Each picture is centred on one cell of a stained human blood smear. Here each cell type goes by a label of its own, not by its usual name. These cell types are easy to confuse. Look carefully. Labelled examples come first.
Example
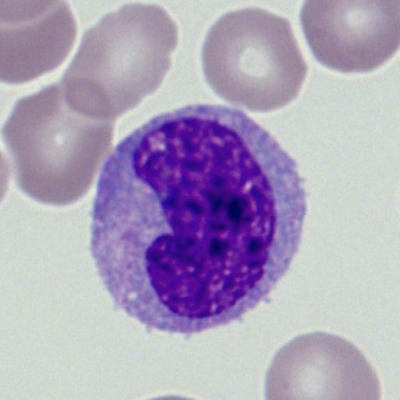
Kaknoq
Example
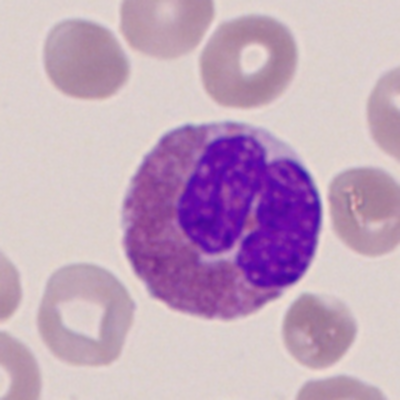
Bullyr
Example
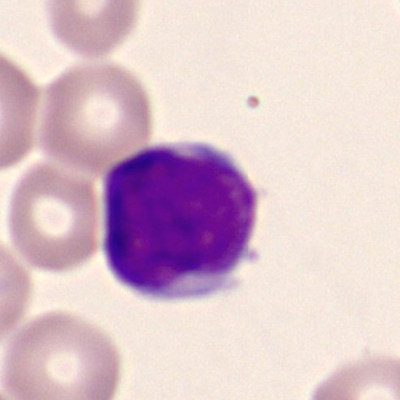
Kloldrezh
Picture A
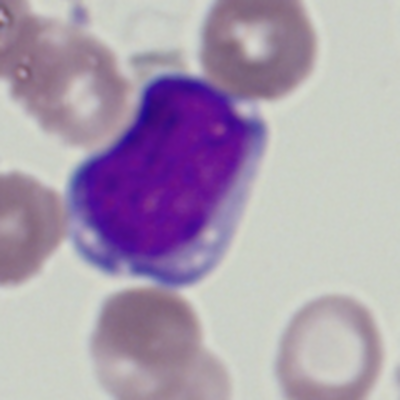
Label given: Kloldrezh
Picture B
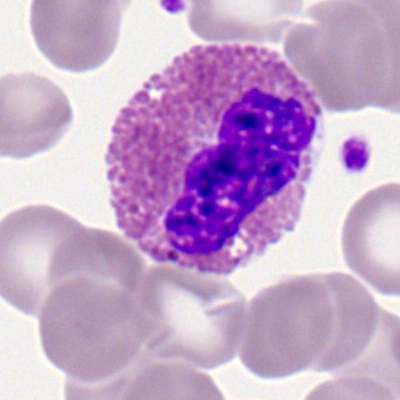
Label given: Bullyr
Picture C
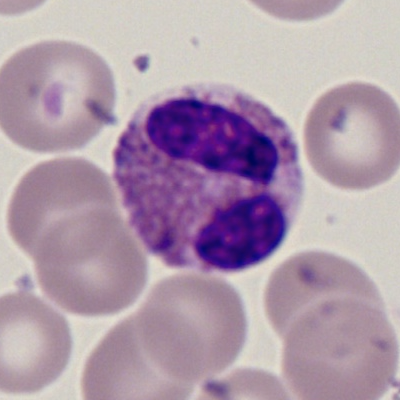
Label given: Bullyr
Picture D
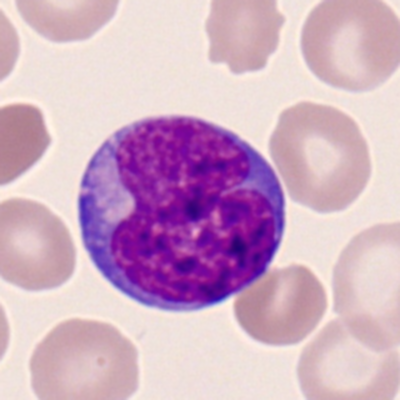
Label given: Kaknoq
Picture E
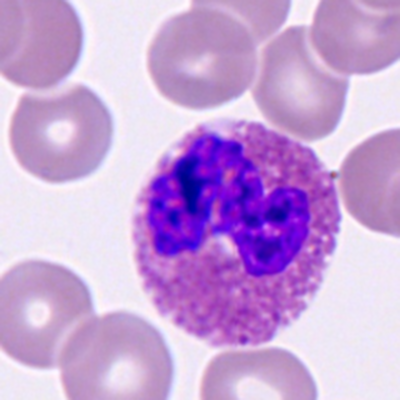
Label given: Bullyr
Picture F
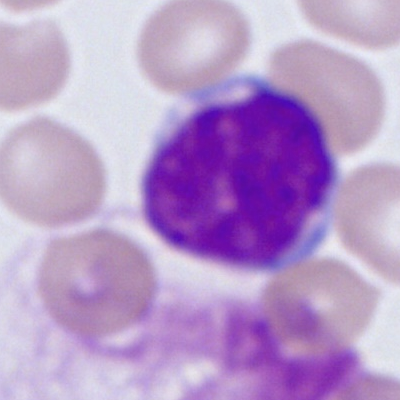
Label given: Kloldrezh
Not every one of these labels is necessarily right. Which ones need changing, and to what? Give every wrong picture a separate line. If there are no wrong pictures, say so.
D: change Kaknoq to Kloldrezh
